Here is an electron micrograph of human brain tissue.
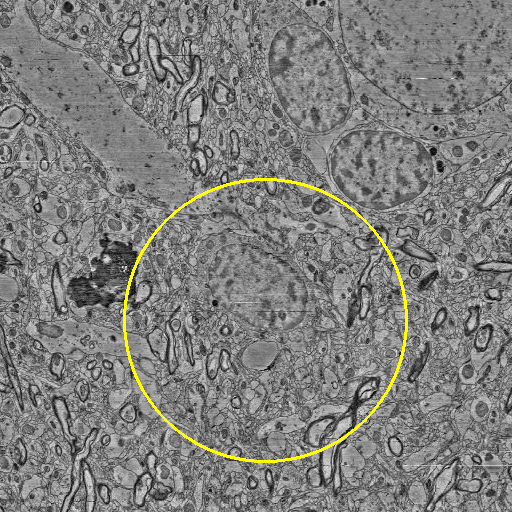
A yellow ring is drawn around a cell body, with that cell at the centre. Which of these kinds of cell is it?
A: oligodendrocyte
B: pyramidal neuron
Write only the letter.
A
